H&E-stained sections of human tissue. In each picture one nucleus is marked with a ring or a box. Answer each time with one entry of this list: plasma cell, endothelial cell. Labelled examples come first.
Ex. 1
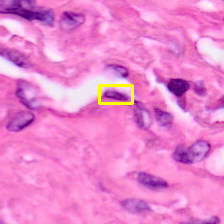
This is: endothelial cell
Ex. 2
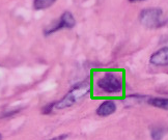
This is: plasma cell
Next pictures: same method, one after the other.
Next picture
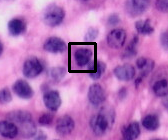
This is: plasma cell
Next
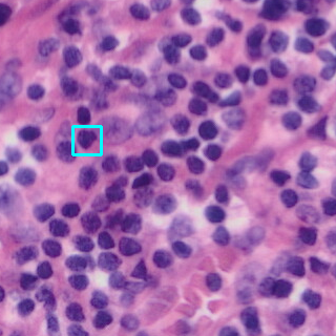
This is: endothelial cell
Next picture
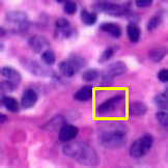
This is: endothelial cell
